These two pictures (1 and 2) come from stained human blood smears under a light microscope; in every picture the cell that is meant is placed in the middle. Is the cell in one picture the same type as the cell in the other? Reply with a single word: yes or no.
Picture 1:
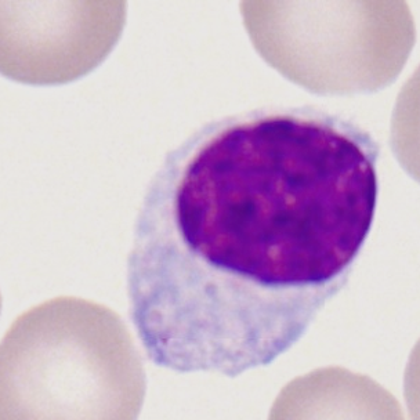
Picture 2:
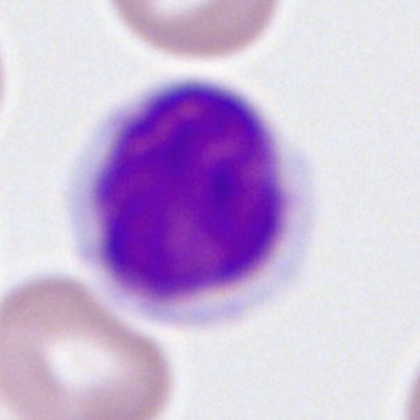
yes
